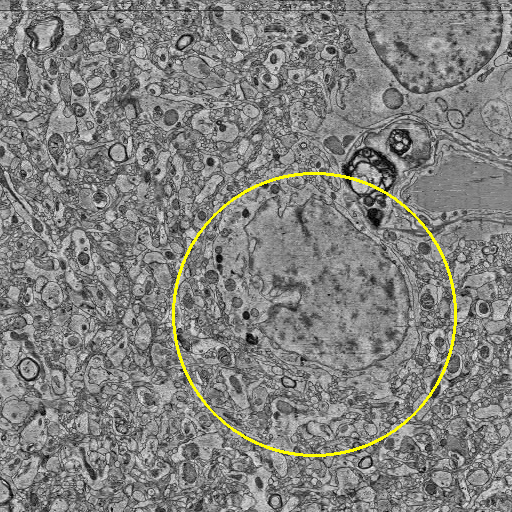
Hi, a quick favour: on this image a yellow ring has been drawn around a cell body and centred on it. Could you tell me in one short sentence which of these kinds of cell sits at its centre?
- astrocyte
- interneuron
The ring is centred on an interneuron.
